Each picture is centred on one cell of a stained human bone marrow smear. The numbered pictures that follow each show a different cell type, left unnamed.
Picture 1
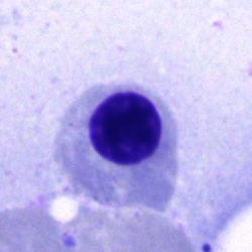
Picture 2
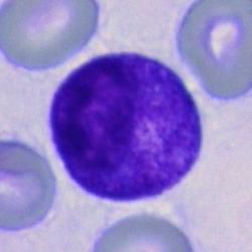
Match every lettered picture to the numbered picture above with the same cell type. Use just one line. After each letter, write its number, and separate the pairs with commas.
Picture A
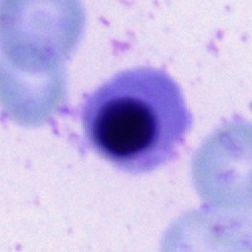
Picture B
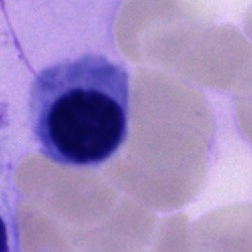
A 1, B 1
